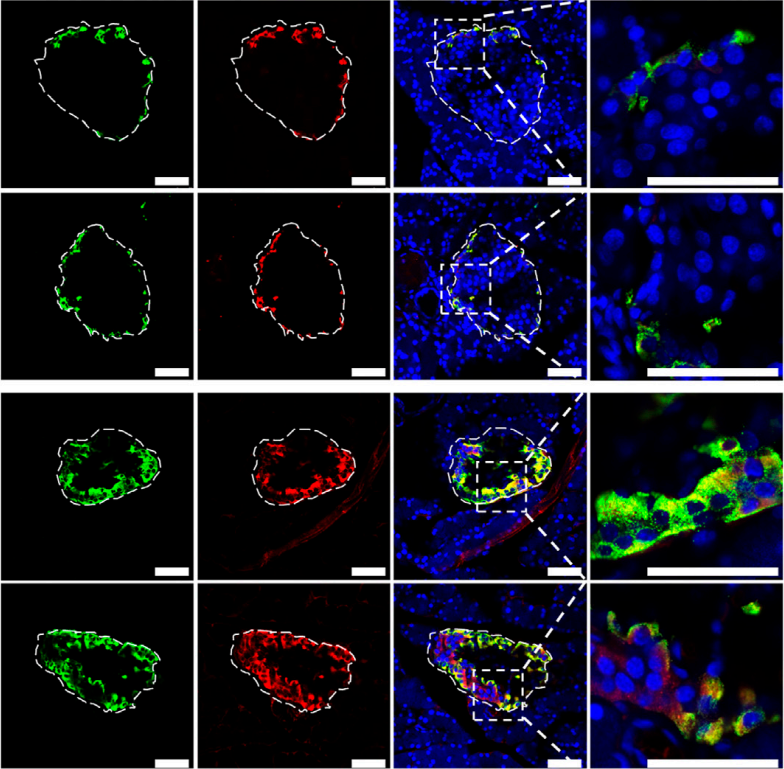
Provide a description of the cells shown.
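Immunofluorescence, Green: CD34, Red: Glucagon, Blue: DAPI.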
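Pancreatic islets appear as compact, rounded to oval clusters of cells with blue nuclei, each outlined by an irregular dashed line and set within surrounding tissue. In the upper two rows the green and red label is sparse, confined to small scattered cells lying mainly along the rim of the islet. In the lower two rows the green and red label fills a large part of the islet, and the two colours largely overlap as yellow. The enlarged crops of the lower rows show label-filled cells with abundant cytoplasm around round blue nuclei, packed in groups.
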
